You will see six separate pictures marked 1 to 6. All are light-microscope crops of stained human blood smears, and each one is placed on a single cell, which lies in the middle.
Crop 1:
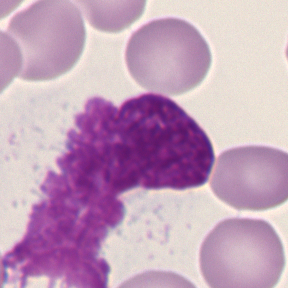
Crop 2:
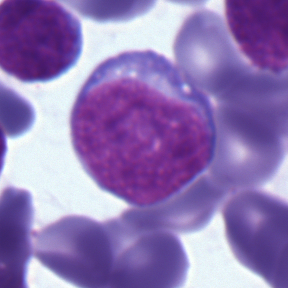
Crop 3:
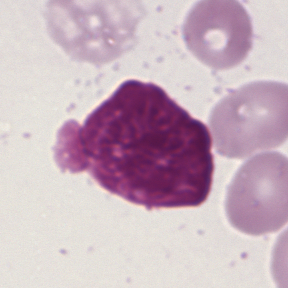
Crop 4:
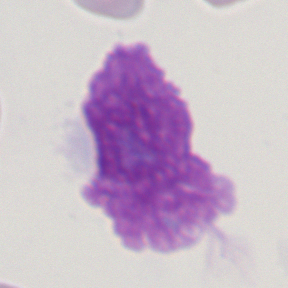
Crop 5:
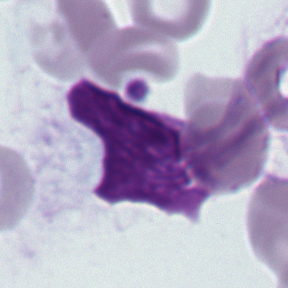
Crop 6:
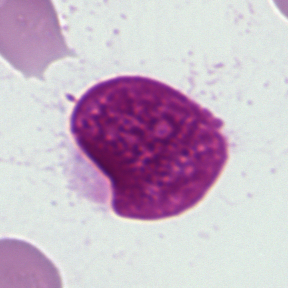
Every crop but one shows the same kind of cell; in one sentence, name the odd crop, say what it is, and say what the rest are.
In contrast to the other crops, all of which show smudge cells, crop 2 shows a myeloblast.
